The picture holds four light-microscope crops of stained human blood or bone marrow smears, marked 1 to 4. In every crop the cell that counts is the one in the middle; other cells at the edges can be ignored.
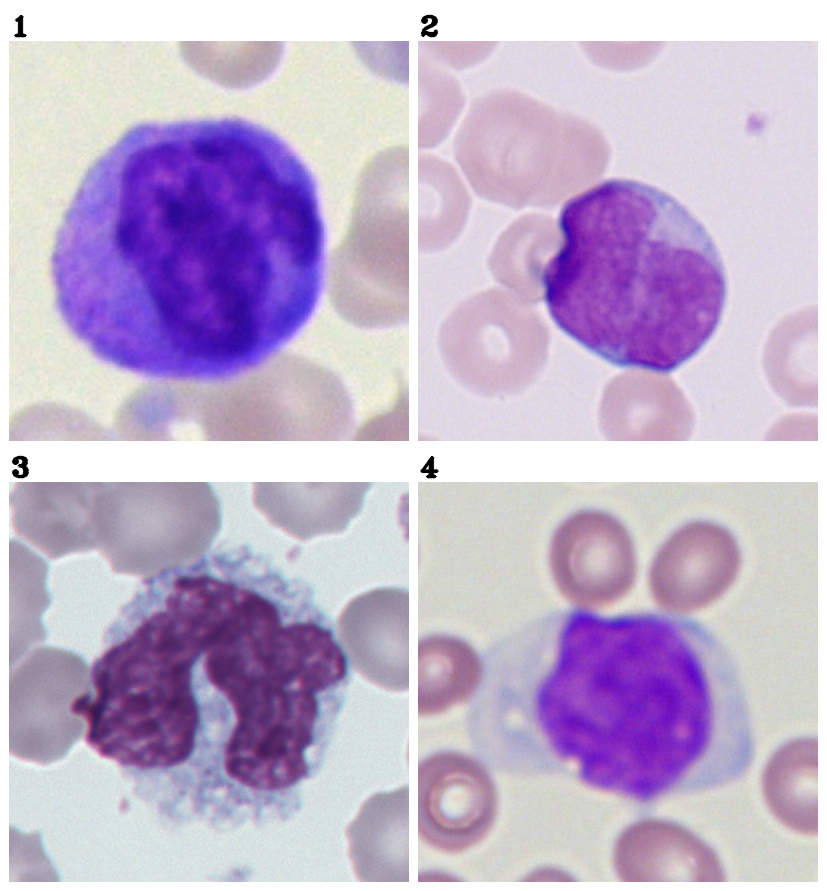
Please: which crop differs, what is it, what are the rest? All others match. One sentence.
Crop 2 is the only crop with a blast, the others all showing monocytes.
